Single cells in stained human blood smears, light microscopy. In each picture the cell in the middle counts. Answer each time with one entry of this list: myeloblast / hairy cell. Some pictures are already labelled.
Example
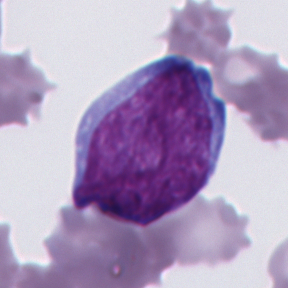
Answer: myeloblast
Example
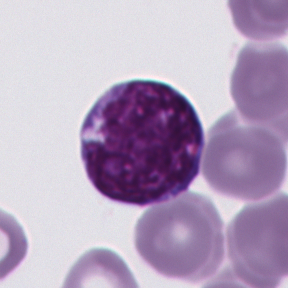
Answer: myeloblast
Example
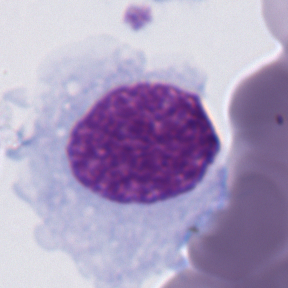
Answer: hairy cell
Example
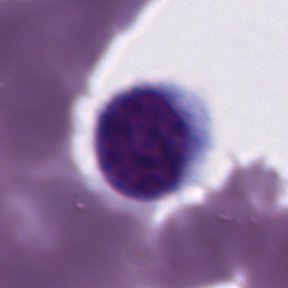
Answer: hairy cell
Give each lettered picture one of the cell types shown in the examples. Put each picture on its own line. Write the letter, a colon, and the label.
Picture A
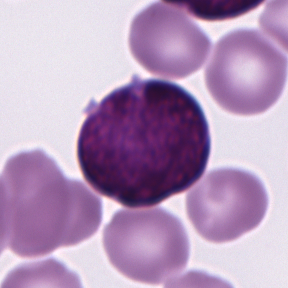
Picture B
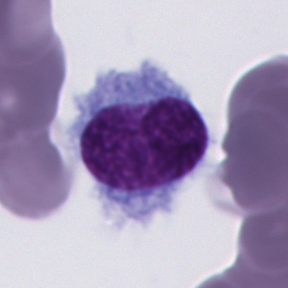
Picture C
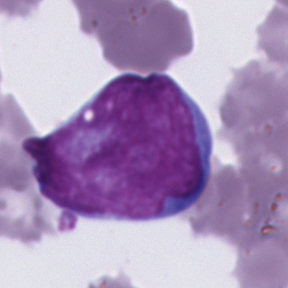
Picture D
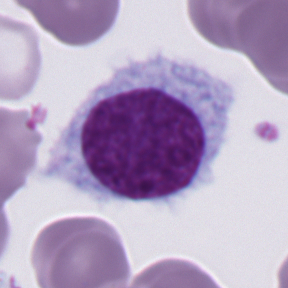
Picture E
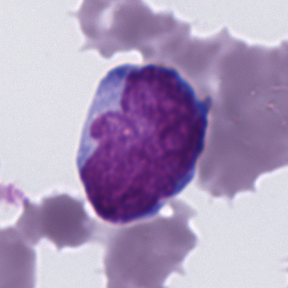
A: myeloblast
B: hairy cell
C: myeloblast
D: hairy cell
E: myeloblast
